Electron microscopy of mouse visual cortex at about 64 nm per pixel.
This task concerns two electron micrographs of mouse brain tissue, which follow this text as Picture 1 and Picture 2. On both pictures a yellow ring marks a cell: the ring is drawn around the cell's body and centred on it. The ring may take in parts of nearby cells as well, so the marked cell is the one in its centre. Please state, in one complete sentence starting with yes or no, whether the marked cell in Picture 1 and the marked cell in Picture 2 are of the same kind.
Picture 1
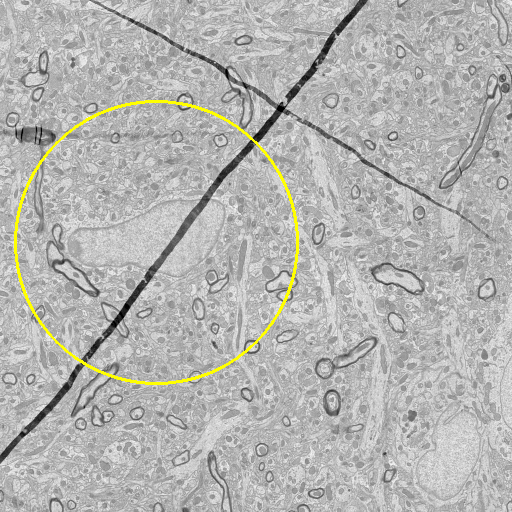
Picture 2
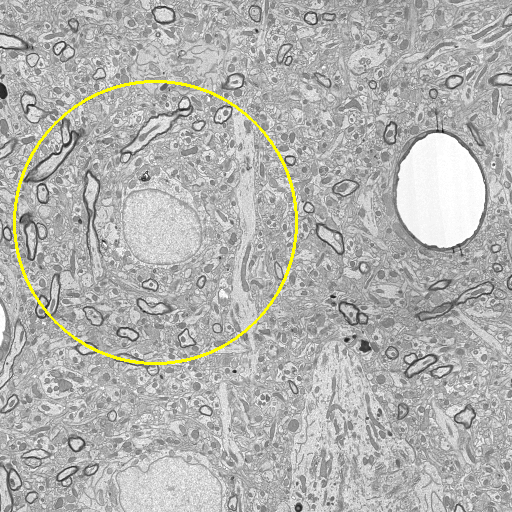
Yes, the marked cells in both pictures are of the same kind.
